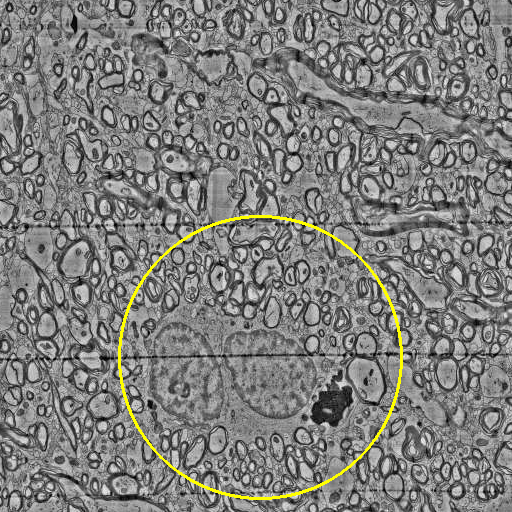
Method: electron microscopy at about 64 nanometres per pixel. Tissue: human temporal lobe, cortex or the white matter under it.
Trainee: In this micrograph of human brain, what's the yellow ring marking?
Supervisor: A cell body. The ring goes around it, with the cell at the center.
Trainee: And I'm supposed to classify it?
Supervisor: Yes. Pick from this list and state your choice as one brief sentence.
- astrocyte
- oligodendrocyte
The cell at the ring's center is an oligodendrocyte.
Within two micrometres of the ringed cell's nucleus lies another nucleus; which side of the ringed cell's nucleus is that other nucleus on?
The other one lies to the left of it.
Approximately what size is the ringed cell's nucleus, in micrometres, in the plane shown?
In this plane, the nucleus of the cell at the centre of the ring measures about 6 by 5 micrometres.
